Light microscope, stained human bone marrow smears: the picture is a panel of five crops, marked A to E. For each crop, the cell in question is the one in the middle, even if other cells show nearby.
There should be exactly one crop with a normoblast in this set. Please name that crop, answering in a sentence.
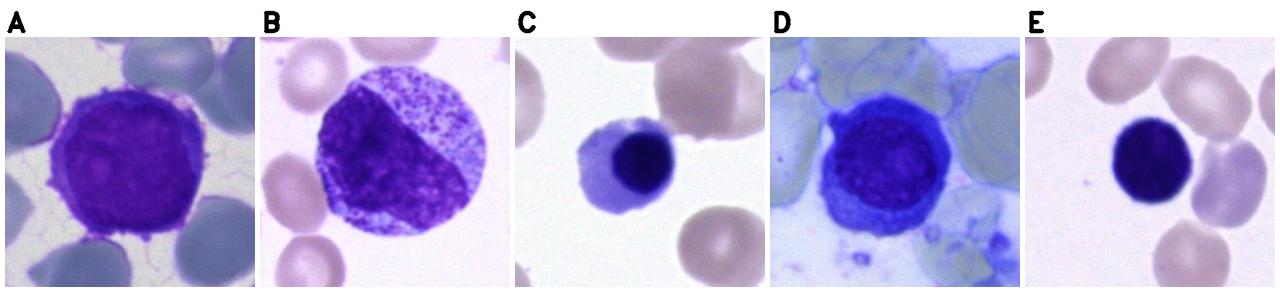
The one crop in the set with a normoblast is crop C.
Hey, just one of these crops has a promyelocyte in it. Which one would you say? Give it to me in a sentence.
The crop that has a promyelocyte in the middle is crop B.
